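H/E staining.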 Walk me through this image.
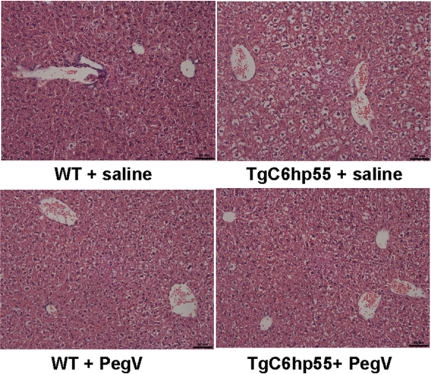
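Liver parenchyma of sheets of polygonal hepatocytes with pink cytoplasm and round central nuclei. Scattered vessel lumens, some containing red blood cells, lie among the cords. In the upper right image the hepatocytes look paler and more vacuolated.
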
